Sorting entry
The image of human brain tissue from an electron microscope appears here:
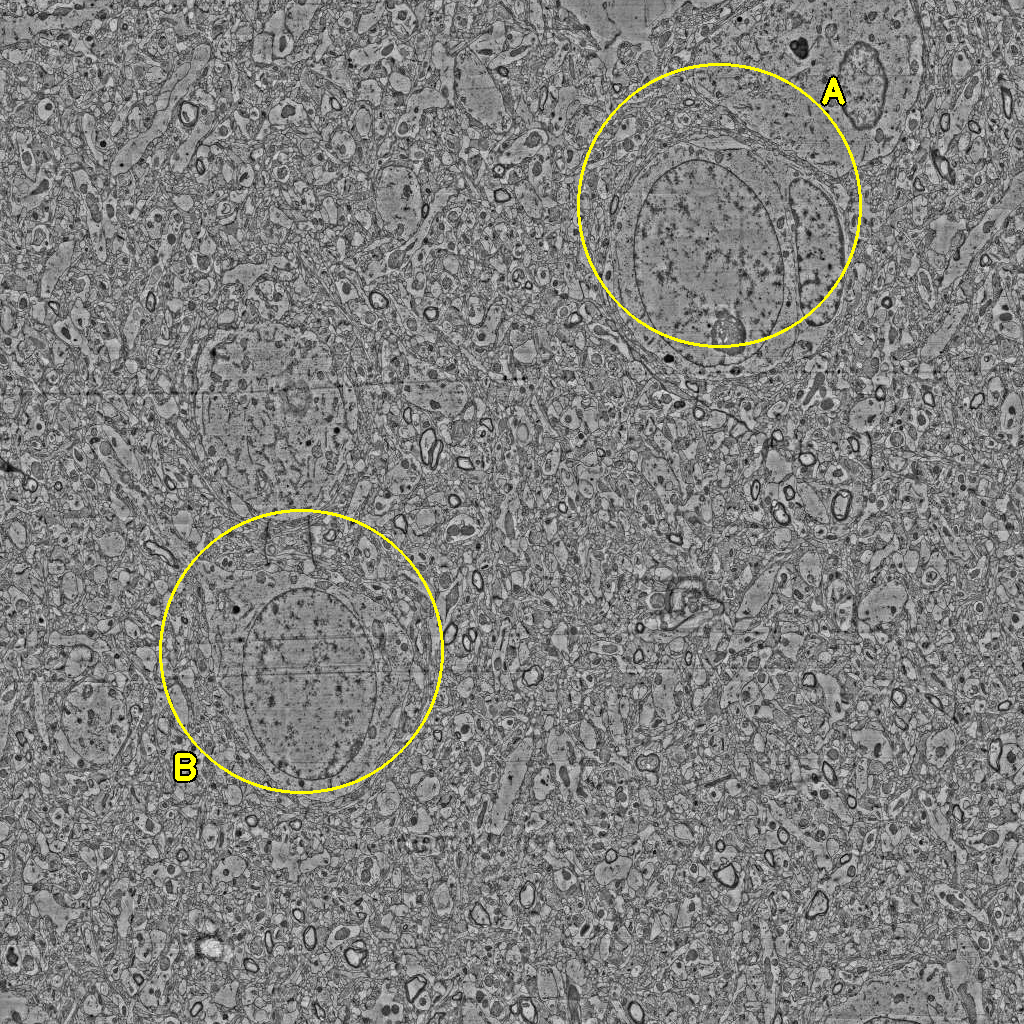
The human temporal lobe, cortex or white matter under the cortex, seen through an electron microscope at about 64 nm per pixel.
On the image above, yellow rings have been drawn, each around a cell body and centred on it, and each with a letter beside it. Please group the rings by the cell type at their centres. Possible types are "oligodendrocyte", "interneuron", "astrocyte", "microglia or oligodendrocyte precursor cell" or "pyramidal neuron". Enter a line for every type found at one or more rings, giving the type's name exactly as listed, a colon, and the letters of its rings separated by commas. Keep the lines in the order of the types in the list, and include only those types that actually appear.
pyramidal neuron: A, B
